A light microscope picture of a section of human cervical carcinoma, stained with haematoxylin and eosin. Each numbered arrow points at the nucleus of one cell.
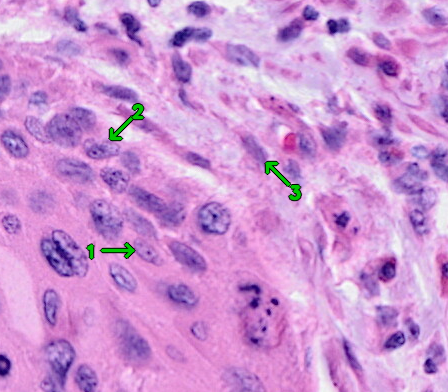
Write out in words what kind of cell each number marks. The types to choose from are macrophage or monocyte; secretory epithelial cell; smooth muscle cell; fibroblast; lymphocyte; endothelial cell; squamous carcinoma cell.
Cells 1 and 2 are squamous carcinoma cells. Cell 3 is a fibroblast.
